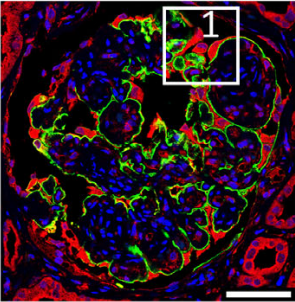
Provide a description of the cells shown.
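Green lines outline the outer surfaces of the capillary loops in scalloped arcs along the tuft. Red cytoplasm fills scattered cells within the tuft and the epithelium of the surrounding tubules. Blue nuclei are distributed throughout the tuft and the surrounding tissue.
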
